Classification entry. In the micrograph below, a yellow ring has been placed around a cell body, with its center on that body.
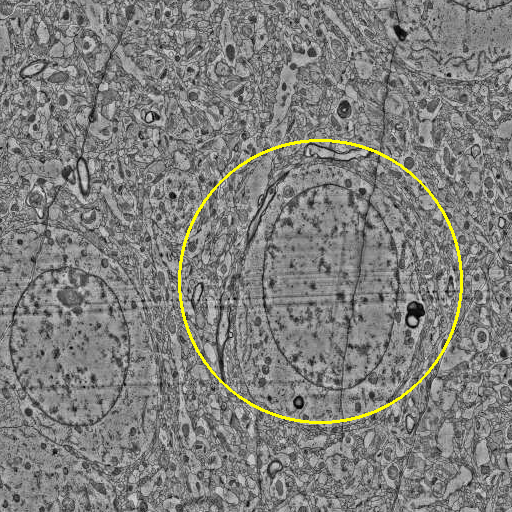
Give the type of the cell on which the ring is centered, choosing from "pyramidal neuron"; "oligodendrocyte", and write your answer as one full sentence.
The cell body at the center of the yellow ring belongs to a pyramidal neuron.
